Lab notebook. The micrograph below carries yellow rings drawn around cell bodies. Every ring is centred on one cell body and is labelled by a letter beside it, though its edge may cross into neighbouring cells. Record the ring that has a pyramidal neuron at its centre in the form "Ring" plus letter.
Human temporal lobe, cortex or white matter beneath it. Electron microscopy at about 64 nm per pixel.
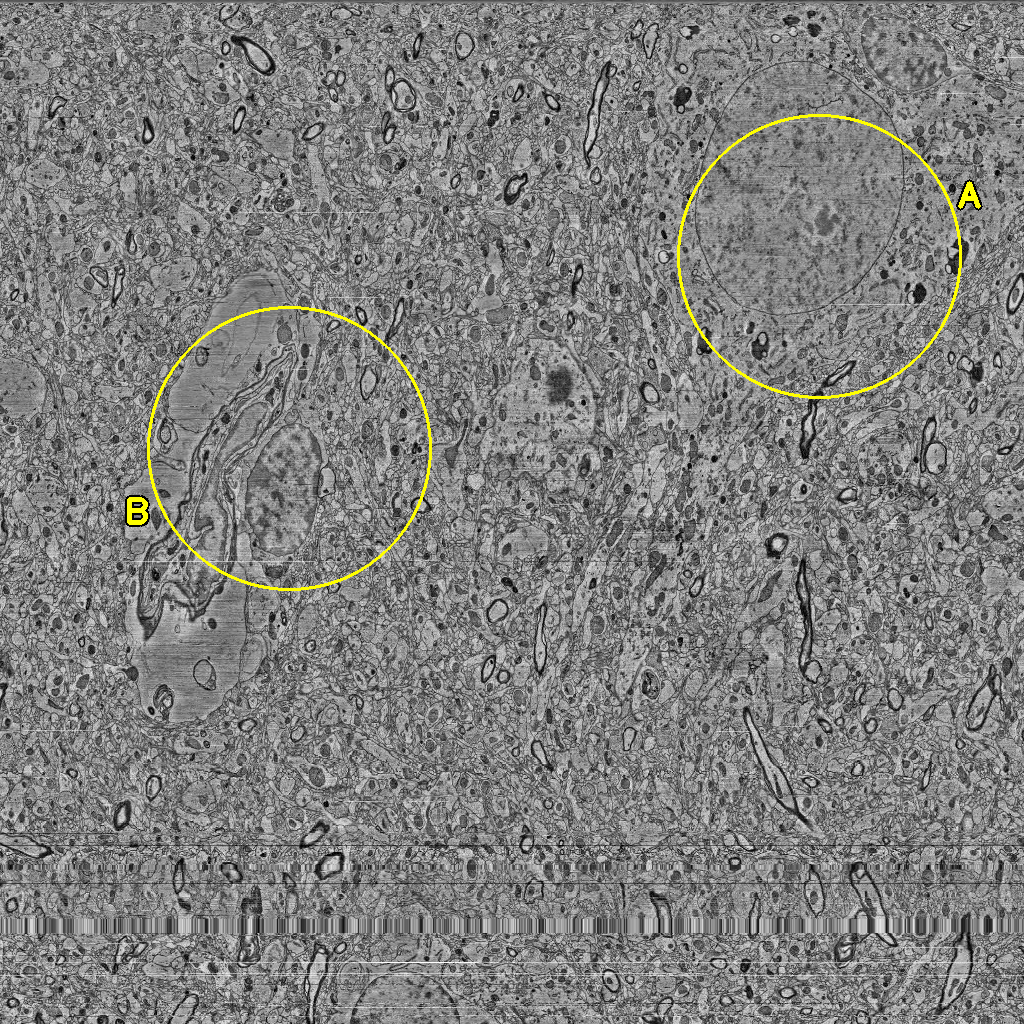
Ring A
